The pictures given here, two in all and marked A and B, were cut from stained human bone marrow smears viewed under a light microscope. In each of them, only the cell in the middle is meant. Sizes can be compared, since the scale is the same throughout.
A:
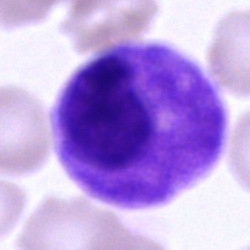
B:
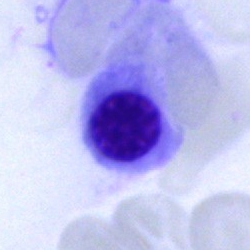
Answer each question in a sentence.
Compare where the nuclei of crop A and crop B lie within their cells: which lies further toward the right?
It is the nucleus in crop B that lies further toward the right of its cell.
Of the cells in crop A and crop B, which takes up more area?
Crop A holds the larger cell; it covers about 3 times the area of the cell in crop B.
